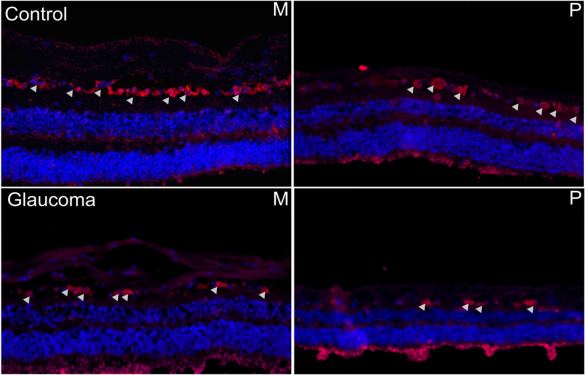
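These are cross-sections of retina in which red-stained retinal ganglion cells, marked by arrowheads, sit in a sparse single row in the innermost cellular layer. Beneath them lie two thick bands of densely packed blue nuclei, the inner and outer nuclear layers, separated by a thinner less nuclear zone. The marked cells appear sparser in the lower sections than in the upper ones.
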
